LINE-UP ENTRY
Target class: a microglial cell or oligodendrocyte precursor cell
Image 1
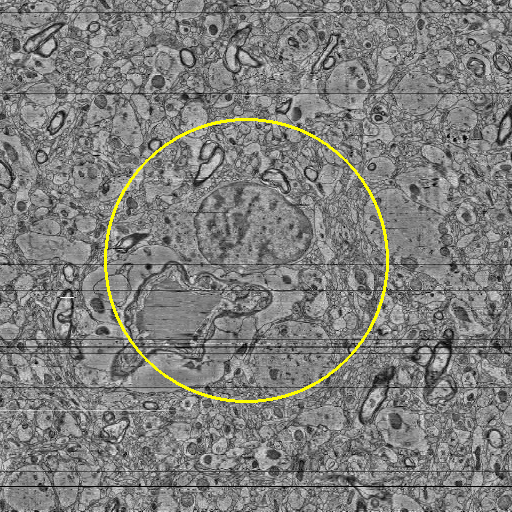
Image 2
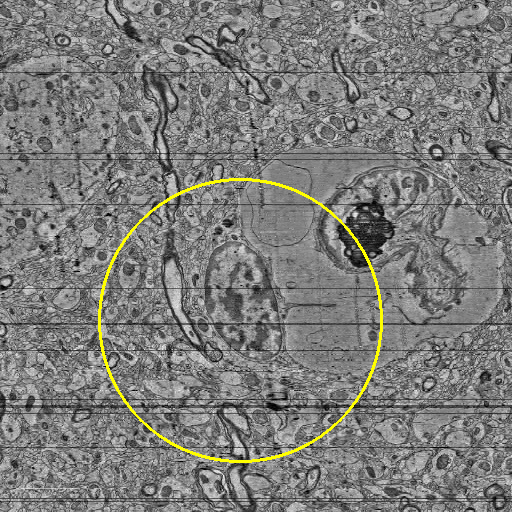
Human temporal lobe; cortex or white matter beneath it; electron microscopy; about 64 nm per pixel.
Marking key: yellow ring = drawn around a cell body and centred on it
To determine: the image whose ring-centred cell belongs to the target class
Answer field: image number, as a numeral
2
